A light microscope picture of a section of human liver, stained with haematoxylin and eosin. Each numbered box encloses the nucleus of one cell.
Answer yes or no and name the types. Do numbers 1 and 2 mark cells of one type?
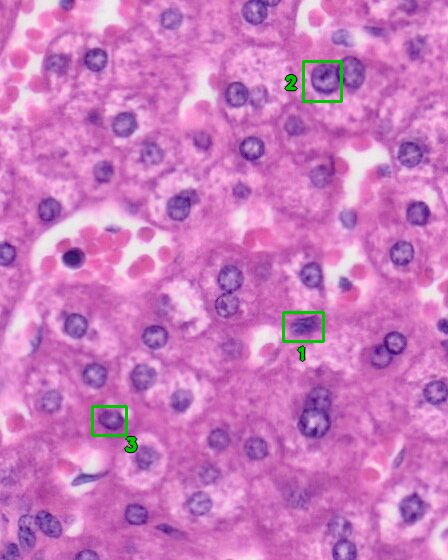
No, rather, cell 1 is a fibroblast or stellate cell and cell 2 is a hepatocyte.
